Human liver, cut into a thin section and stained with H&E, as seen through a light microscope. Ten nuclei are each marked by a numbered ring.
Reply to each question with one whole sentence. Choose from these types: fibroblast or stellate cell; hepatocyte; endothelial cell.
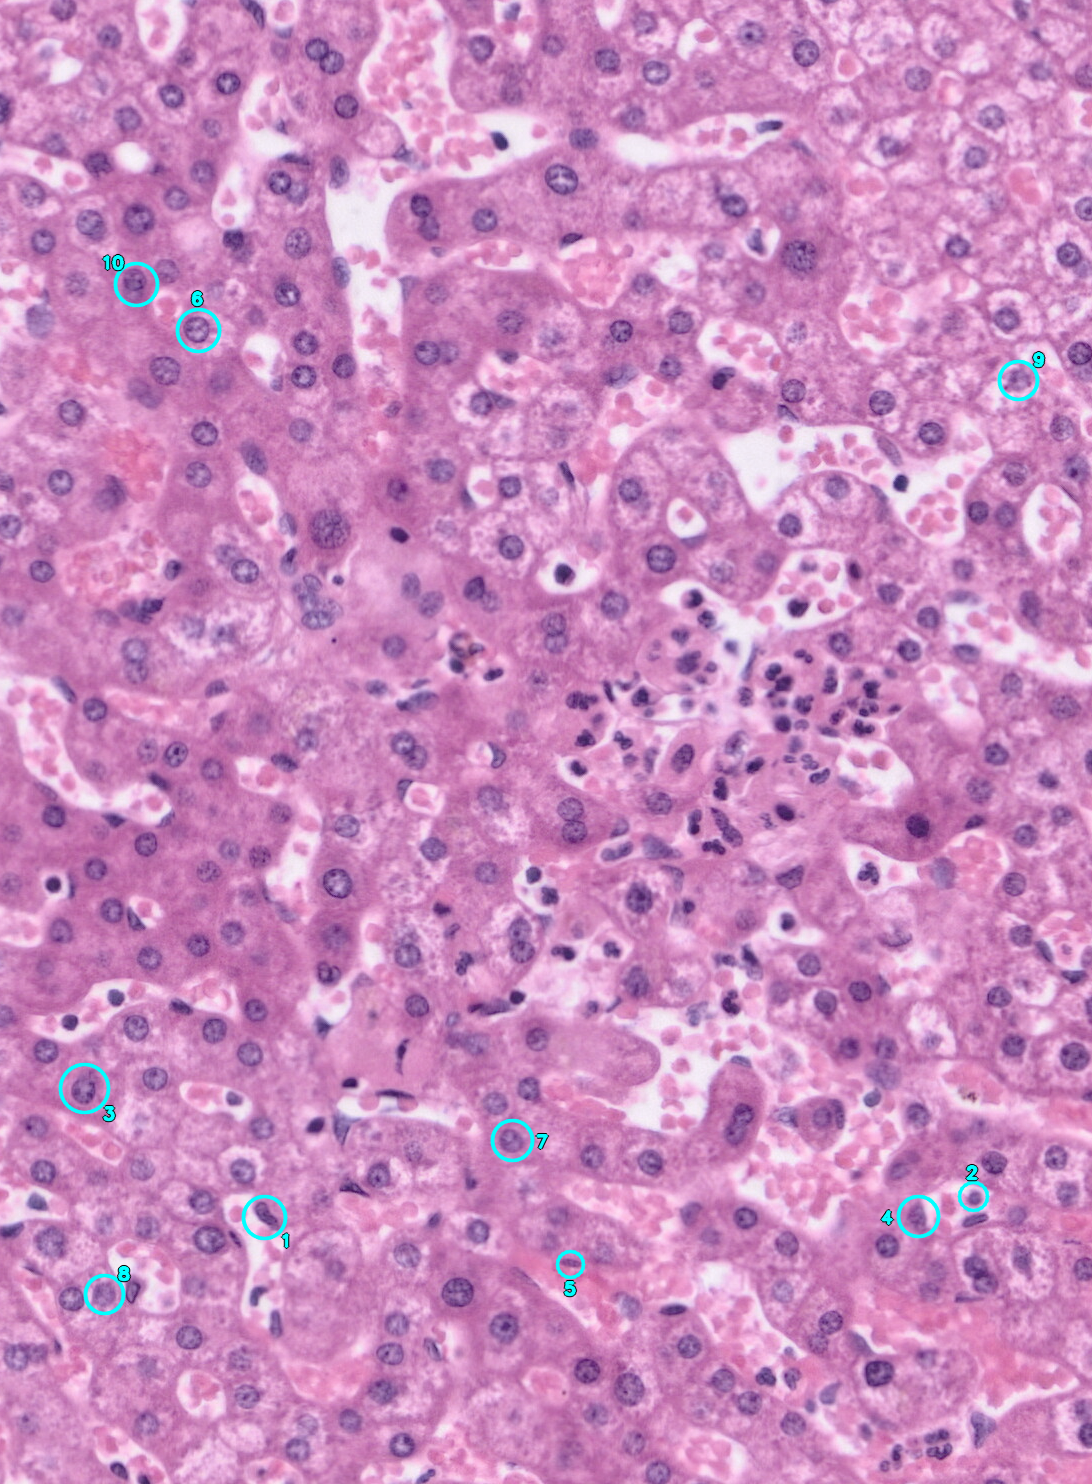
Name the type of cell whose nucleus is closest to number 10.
Closest to number 10 lies the nucleus of a hepatocyte.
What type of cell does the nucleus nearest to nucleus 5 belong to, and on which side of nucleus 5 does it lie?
It is a hepatocyte, whose nucleus lies above and to the left of nucleus 5.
